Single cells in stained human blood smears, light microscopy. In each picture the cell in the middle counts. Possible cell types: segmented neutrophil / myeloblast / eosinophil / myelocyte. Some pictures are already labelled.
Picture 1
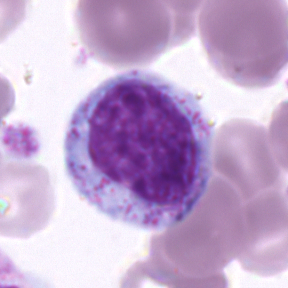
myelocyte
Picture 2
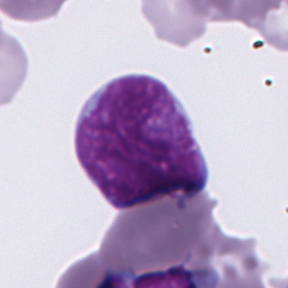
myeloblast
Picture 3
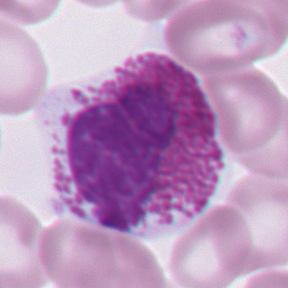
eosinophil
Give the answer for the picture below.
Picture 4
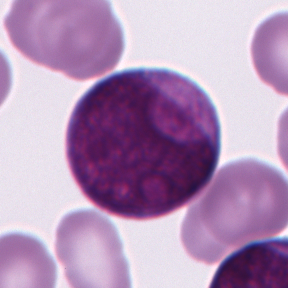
myeloblast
